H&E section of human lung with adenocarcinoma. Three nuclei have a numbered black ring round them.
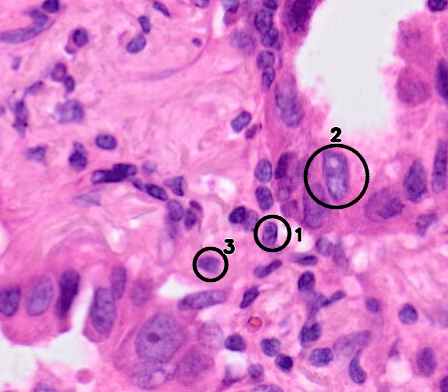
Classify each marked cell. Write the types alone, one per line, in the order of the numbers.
lymphocyte
carcinoma cell
lymphocyte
